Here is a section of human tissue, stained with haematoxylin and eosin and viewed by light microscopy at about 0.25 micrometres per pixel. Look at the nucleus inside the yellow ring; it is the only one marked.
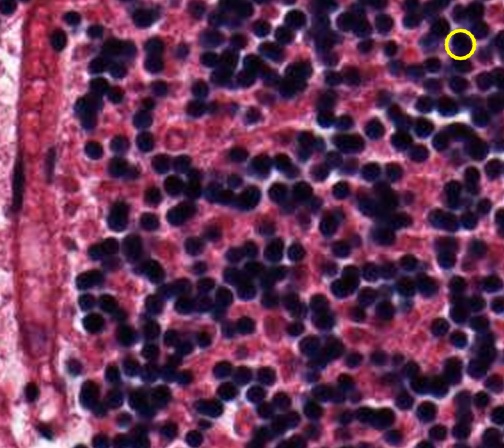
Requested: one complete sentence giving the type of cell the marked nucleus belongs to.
The marked nucleus lies within a cerebellar granule cell.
